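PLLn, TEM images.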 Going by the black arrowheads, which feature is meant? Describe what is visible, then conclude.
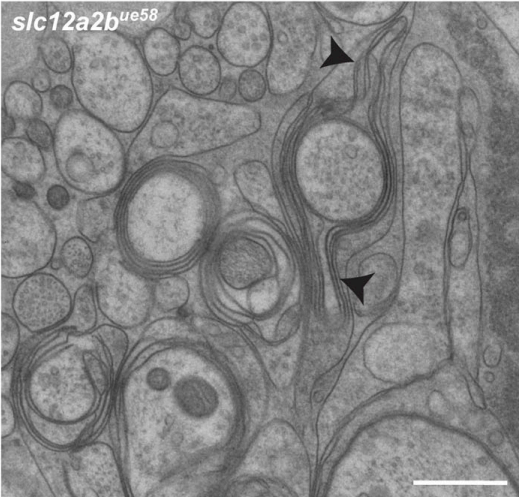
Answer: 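The arrowheads point to loops of compact multilamellar membrane that extend away from the axon they wrap. The extended lamellae run alongside the sheathed axon as elongated folds.
Conclusion: myelin outfoldings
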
